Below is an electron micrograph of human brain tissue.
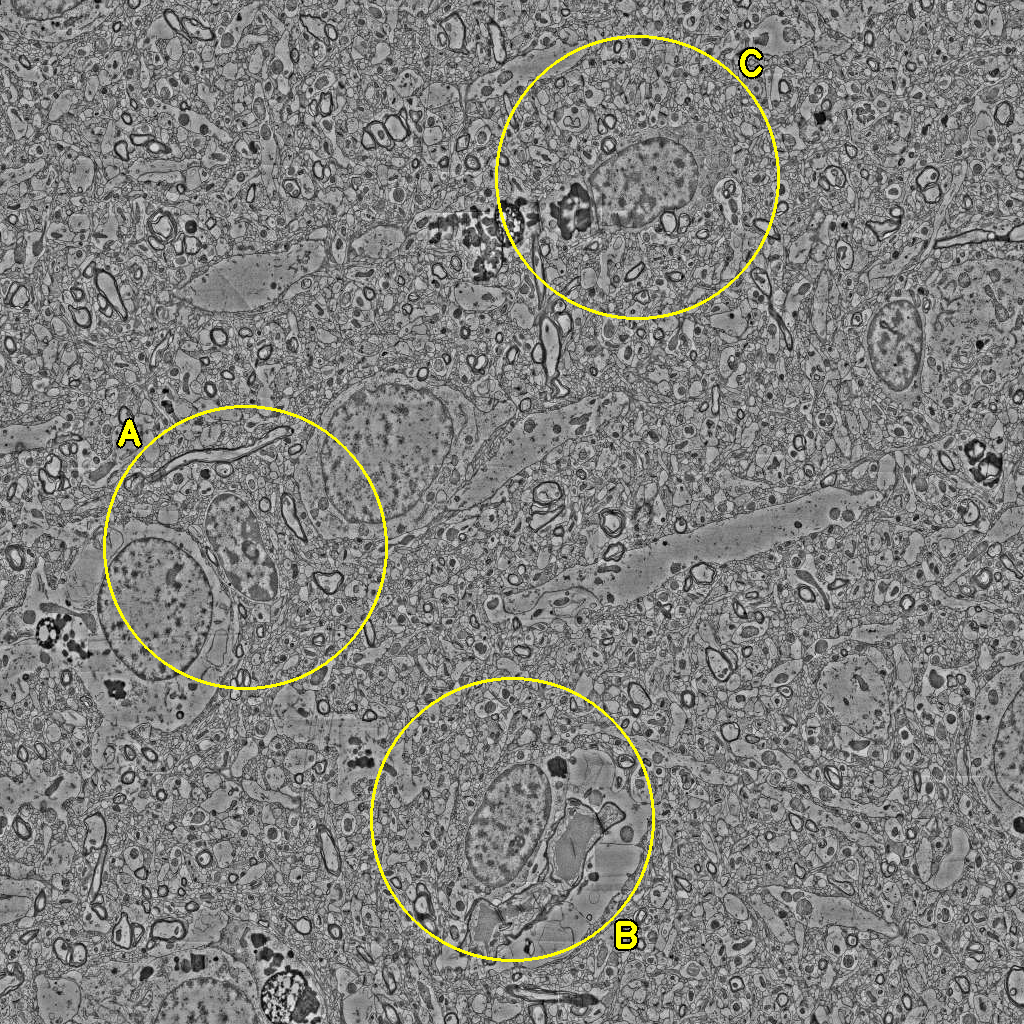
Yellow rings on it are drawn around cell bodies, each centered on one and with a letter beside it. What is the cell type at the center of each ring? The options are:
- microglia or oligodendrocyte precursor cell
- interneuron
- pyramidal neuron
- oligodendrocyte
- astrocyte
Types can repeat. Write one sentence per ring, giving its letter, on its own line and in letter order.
At the center of ring A is a microglial cell or oligodendrocyte precursor cell.
At the center of ring B is an oligodendrocyte.
At the center of ring C is an oligodendrocyte.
